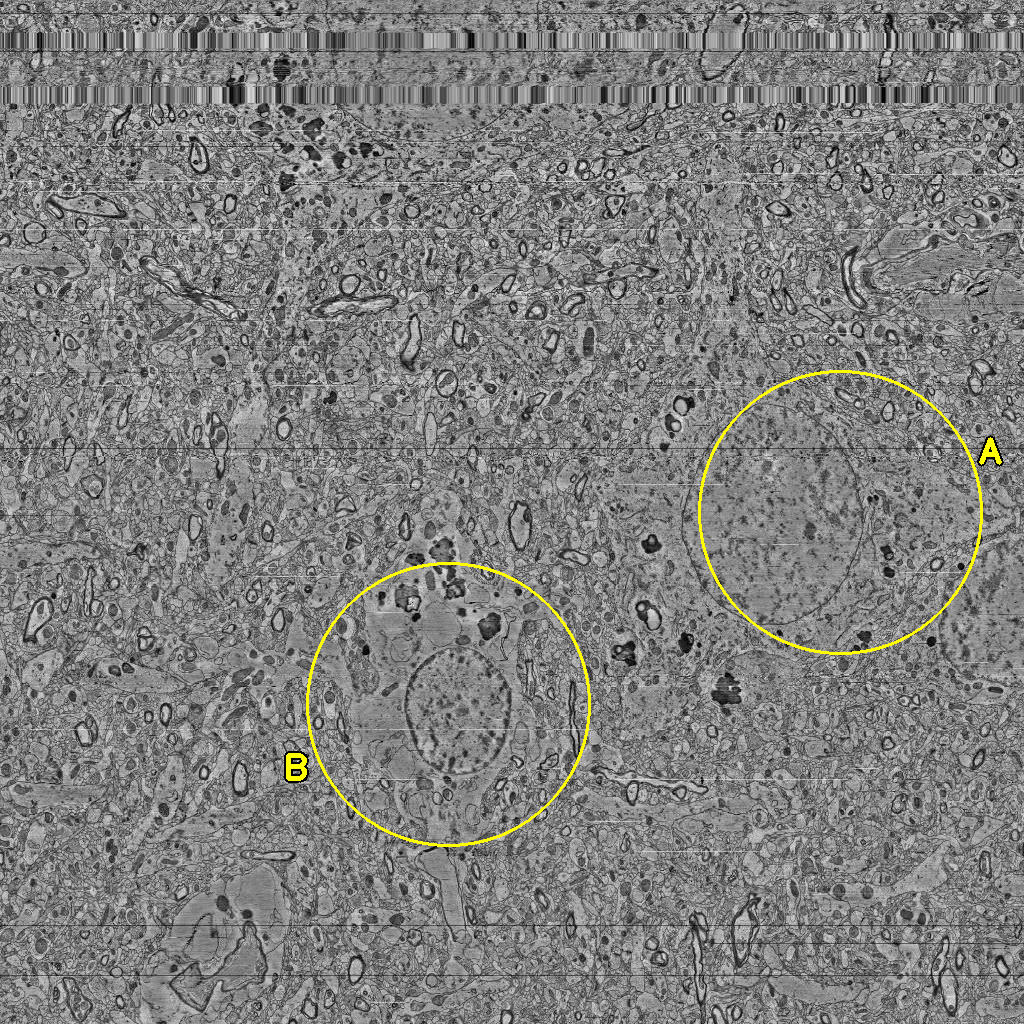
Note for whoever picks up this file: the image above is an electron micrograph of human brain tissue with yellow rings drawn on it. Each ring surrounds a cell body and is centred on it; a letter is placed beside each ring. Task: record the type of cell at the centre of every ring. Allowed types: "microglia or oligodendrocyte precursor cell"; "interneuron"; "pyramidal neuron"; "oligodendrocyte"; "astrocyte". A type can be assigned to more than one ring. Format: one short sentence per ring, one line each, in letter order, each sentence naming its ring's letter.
The ring marked A is centred on a pyramidal neuron.
The ring marked B is centred on an astrocyte.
